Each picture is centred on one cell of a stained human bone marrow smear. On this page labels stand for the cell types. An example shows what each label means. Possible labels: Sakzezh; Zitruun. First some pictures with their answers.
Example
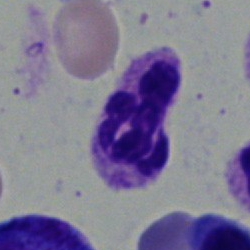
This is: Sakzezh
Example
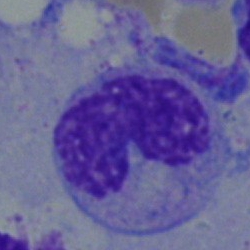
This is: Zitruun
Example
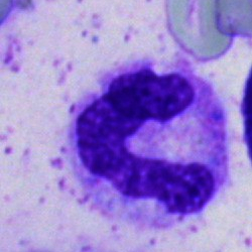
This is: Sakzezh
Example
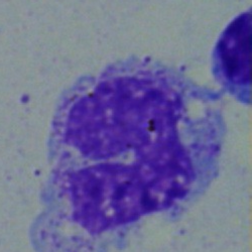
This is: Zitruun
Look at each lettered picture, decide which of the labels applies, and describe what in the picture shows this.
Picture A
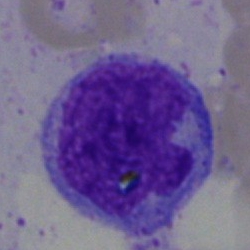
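Zitruun. Evidence: The nucleus fills most of the cell.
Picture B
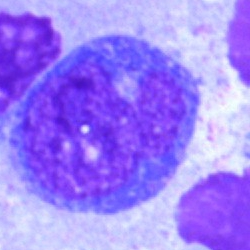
Zitruun. Evidence: The cytoplasm forms only a thin rim around the nucleus.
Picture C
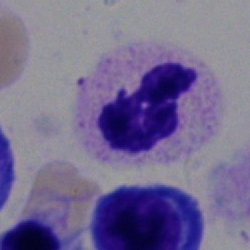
Sakzezh. Evidence: The cytoplasm is plentiful and pale pinkish-lilac.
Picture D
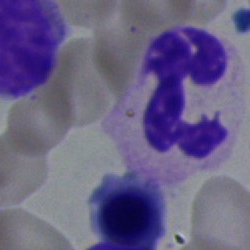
Sakzezh. Evidence: The cytoplasm is abundant and pale pinkish-lilac.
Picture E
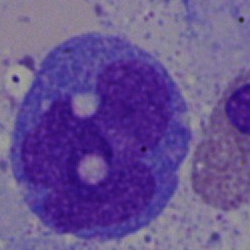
Zitruun. Evidence: The nucleus fills most of the cell.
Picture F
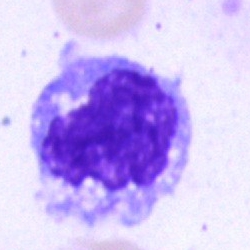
Zitruun. Evidence: The nucleus fills most of the cell and has an irregular, bumpy outline.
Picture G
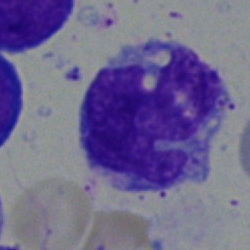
Zitruun. Evidence: The nucleus fills most of the cell.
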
